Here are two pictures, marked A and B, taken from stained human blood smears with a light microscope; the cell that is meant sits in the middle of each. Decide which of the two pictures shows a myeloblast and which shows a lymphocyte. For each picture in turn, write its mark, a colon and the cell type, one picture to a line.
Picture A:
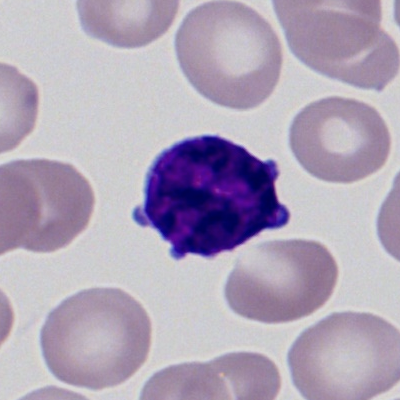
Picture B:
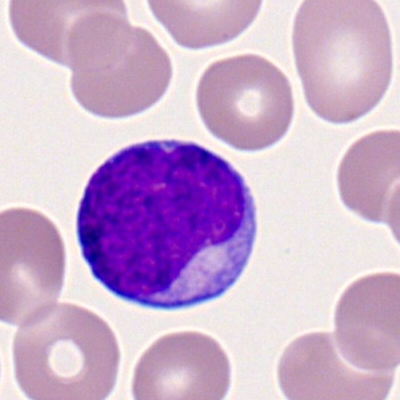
A: lymphocyte
B: myeloblast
